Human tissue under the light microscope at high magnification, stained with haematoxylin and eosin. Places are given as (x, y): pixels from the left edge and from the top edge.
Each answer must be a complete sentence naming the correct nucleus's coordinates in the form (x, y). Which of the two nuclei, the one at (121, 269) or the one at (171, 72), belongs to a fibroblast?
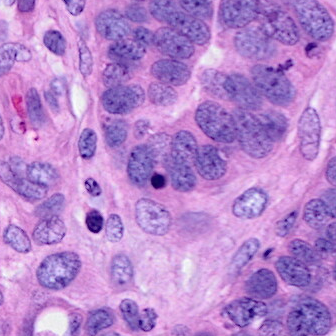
Assigned to a fibroblast is the nucleus located at (121, 269).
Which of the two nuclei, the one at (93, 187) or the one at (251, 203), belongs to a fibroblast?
The nucleus of a fibroblast is the one at (251, 203).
